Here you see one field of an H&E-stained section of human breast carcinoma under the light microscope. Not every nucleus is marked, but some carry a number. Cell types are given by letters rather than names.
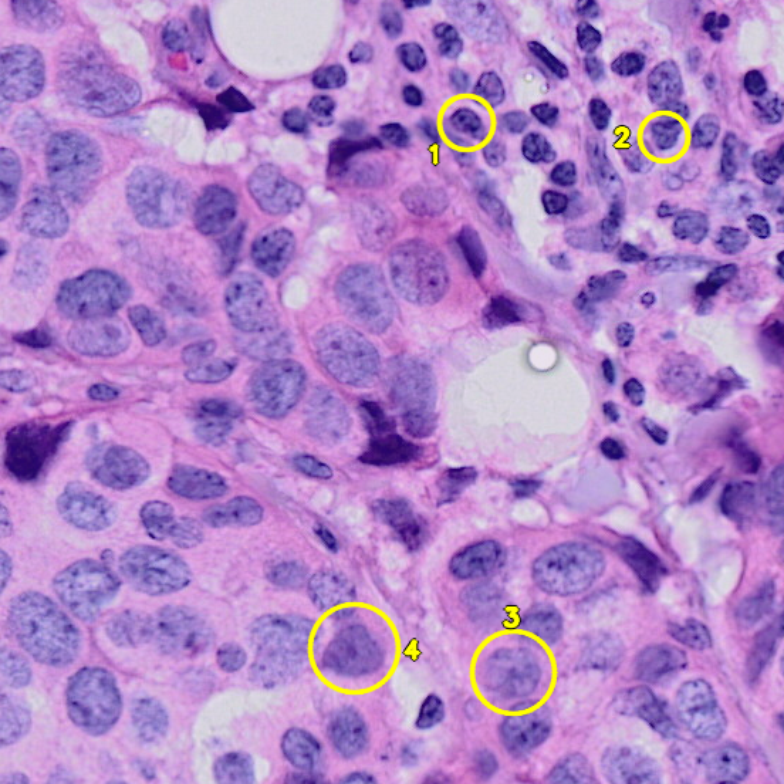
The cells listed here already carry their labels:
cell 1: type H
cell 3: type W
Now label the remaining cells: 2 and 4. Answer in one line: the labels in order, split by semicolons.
type H; type W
